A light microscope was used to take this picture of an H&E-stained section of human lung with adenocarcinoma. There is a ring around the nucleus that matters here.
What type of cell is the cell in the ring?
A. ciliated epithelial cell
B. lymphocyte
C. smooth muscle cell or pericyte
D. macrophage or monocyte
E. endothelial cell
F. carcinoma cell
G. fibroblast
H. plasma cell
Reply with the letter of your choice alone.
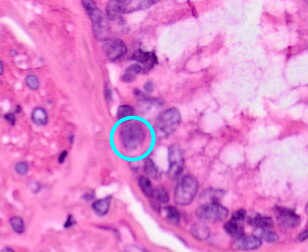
A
